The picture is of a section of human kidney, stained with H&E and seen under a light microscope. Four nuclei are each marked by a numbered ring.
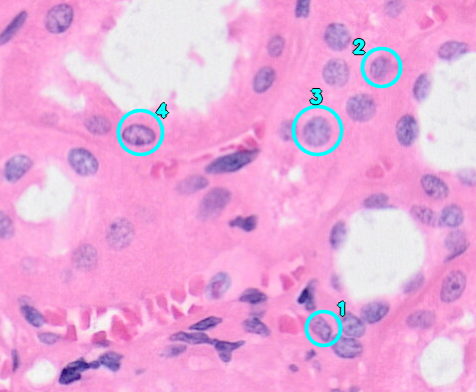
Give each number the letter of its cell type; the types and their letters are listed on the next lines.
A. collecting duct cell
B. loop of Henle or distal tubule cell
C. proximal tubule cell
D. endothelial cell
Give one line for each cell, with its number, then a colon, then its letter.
1: A
2: B
3: B
4: C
